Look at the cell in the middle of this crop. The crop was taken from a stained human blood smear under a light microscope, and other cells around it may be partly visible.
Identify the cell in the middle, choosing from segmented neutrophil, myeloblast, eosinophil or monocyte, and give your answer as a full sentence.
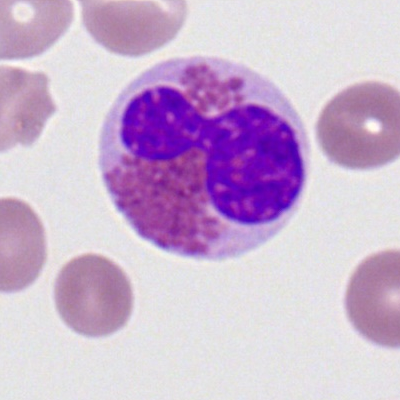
The target cell in the middle of the crop is an eosinophil.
